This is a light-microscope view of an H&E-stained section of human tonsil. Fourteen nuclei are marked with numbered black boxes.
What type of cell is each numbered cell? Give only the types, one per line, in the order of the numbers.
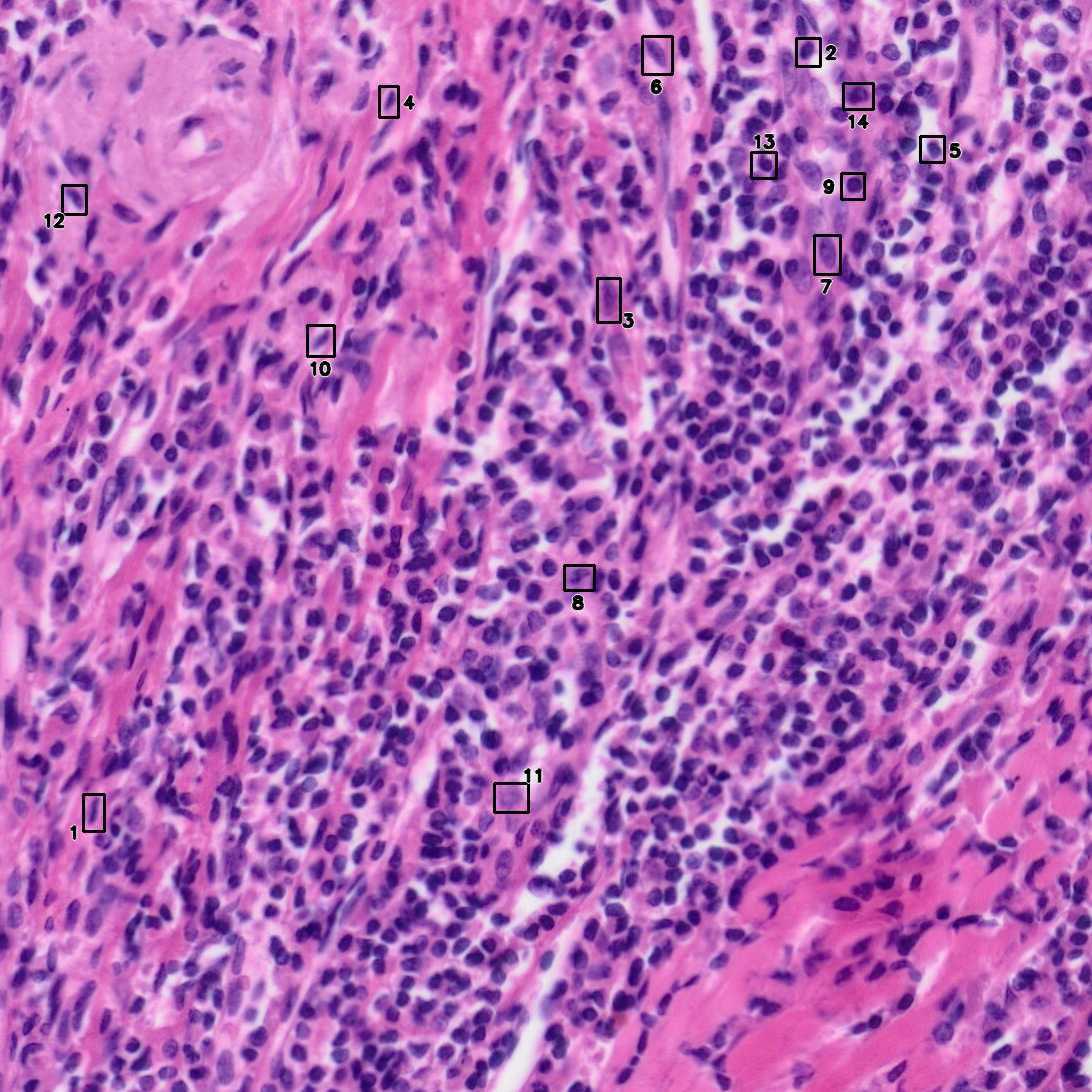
mast cell
endothelial cell
endothelial cell
mast cell
small lymphocyte
endothelial cell
endothelial cell
endothelial cell
endothelial cell
mast cell
endothelial cell
mast cell
small lymphocyte
endothelial cell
